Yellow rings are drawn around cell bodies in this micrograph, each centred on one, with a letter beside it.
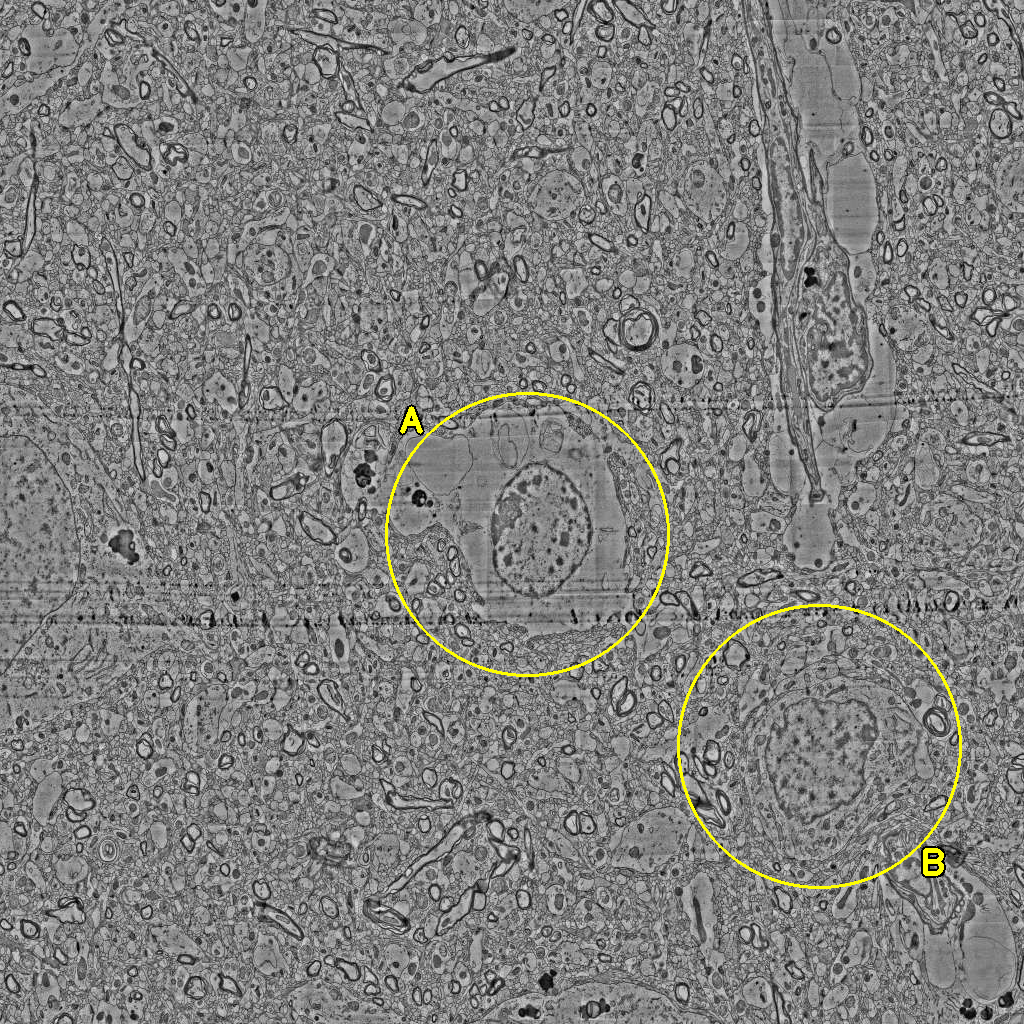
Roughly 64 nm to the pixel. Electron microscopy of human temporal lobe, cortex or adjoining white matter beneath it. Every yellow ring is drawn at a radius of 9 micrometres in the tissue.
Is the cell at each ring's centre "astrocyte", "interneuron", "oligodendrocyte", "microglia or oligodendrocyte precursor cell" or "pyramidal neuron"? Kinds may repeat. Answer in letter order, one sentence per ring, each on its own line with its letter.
In ring A, the cell at the centre is an astrocyte.
In ring B, the cell at the centre is an interneuron.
